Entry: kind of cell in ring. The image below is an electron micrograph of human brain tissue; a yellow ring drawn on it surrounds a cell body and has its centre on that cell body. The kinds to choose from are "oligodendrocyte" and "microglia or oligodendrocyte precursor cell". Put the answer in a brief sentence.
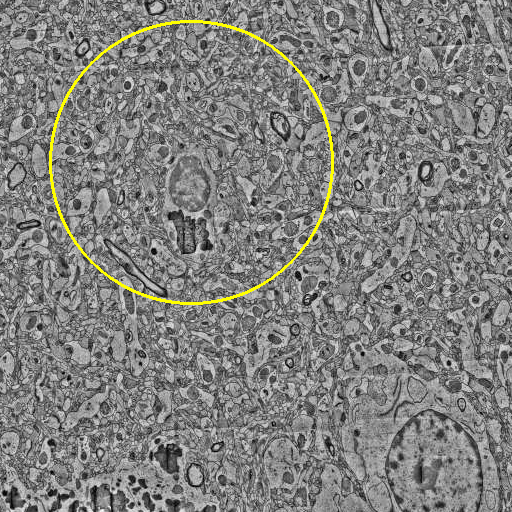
The ring has been drawn around an oligodendrocyte.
